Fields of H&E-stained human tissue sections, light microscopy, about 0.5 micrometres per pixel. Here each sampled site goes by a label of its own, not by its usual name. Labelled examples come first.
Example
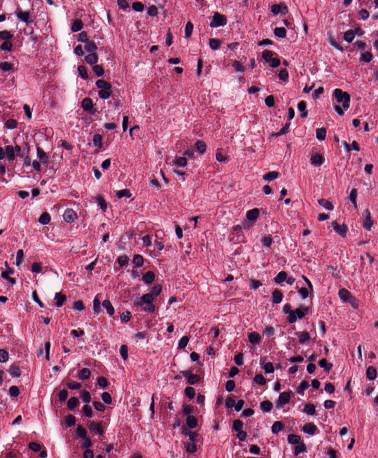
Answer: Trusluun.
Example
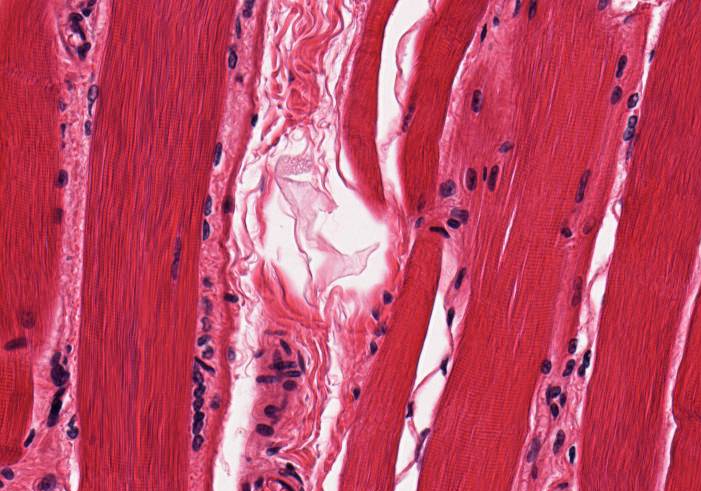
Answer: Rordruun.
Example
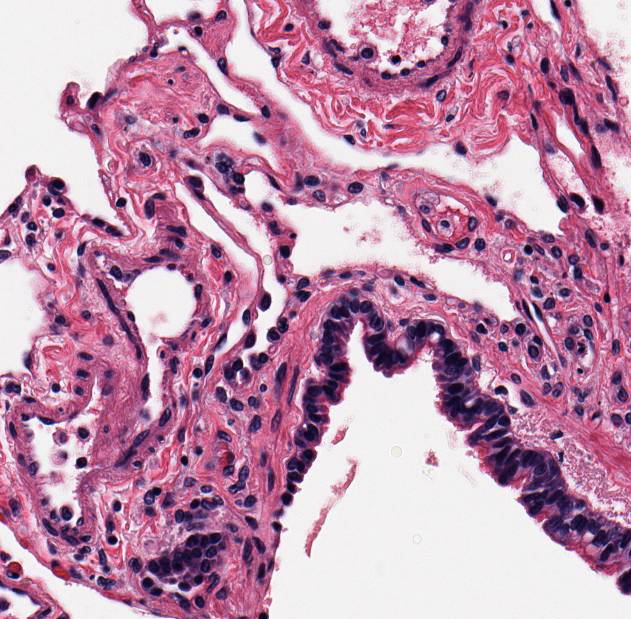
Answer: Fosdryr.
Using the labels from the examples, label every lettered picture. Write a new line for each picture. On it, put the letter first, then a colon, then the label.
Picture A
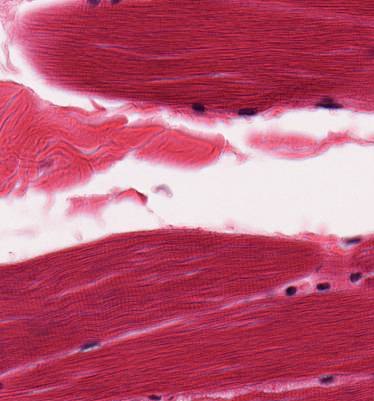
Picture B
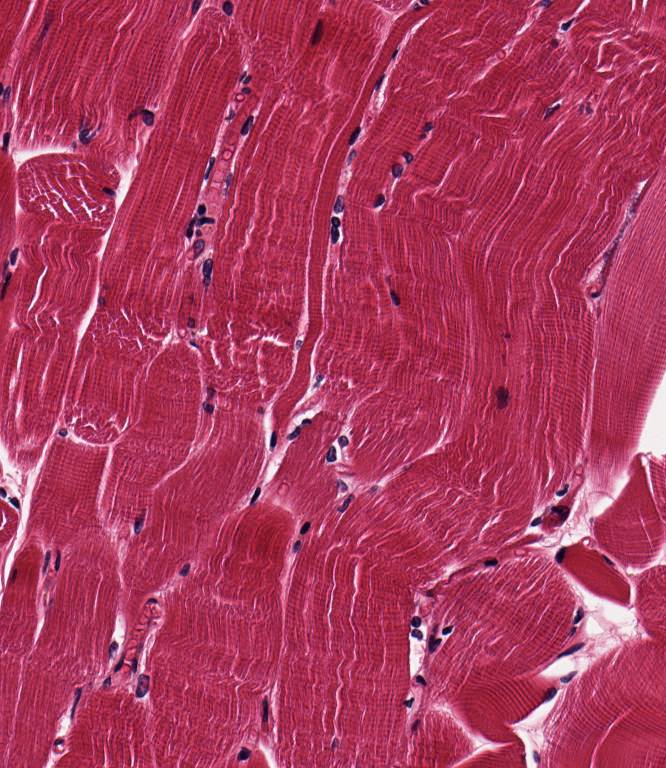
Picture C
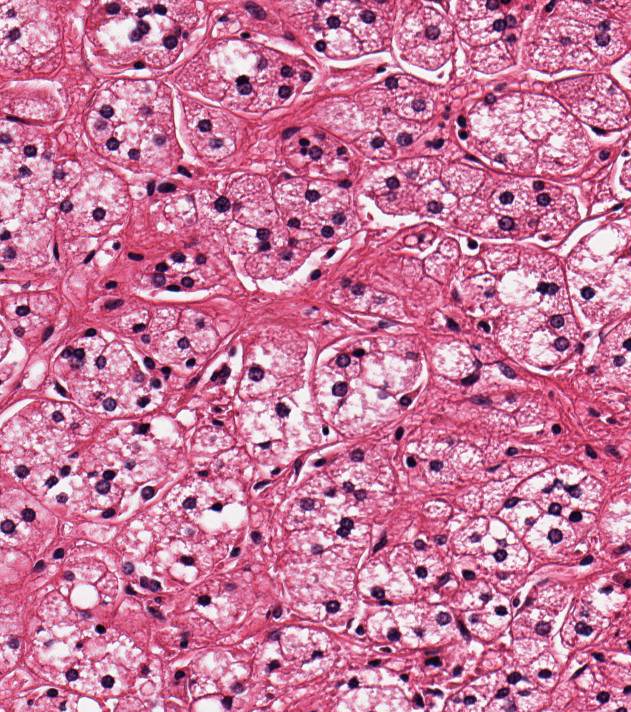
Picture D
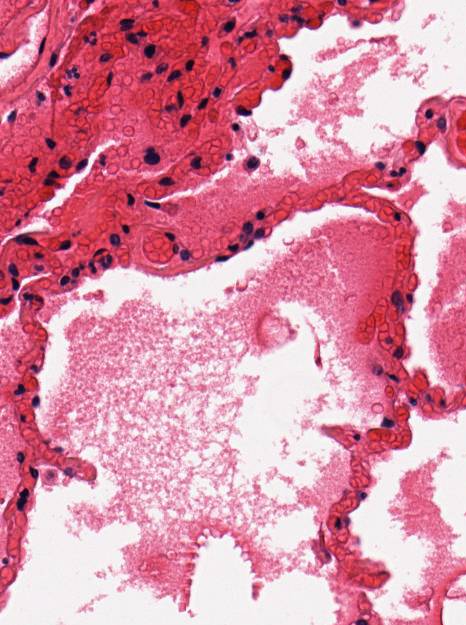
A: Rordruun.
B: Rordruun.
C: Trusluun.
D: Fosdryr.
